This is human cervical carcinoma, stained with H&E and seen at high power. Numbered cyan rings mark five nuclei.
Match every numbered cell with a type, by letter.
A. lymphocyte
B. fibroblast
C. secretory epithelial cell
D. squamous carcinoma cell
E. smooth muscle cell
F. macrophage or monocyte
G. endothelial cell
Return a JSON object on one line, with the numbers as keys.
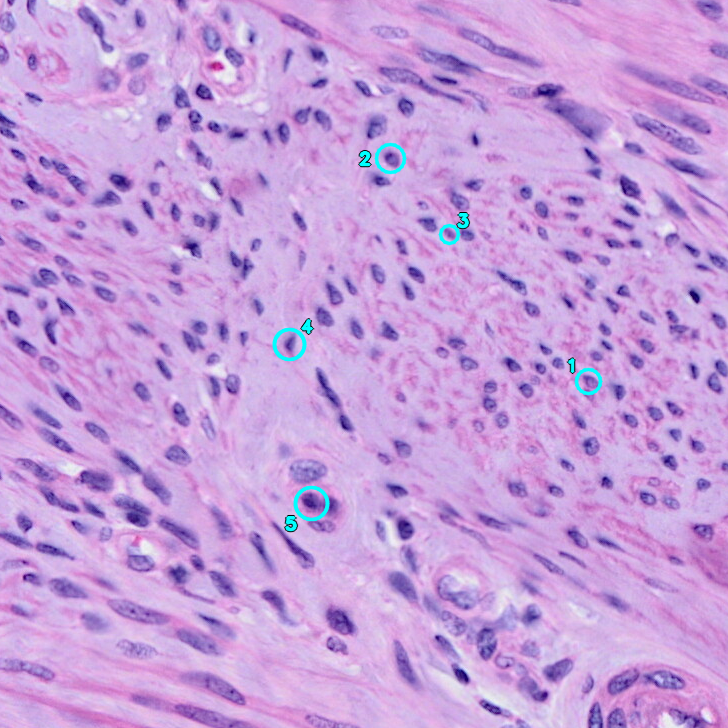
{"1": "E", "2": "E", "3": "E", "4": "B", "5": "G"}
